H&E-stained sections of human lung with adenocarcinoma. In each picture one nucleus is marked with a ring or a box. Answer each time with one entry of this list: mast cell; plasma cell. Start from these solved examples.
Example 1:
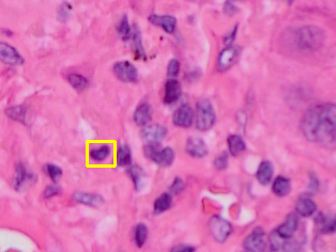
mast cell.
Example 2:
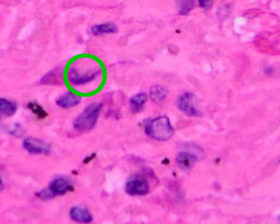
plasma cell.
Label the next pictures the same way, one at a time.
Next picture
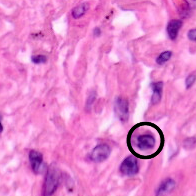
plasma cell.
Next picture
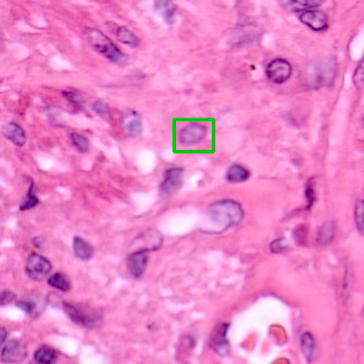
mast cell.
